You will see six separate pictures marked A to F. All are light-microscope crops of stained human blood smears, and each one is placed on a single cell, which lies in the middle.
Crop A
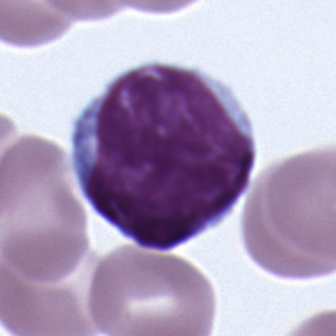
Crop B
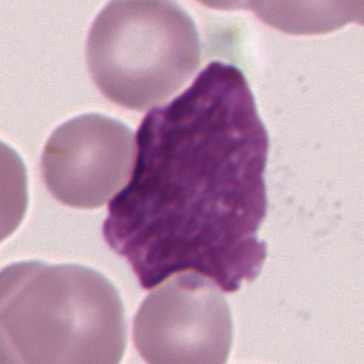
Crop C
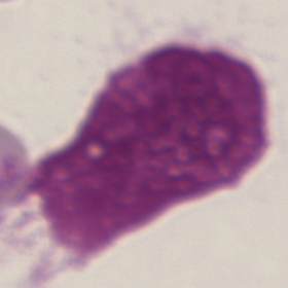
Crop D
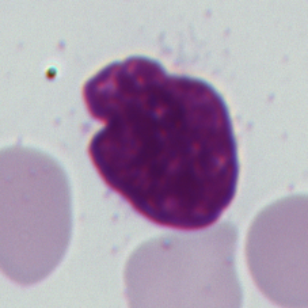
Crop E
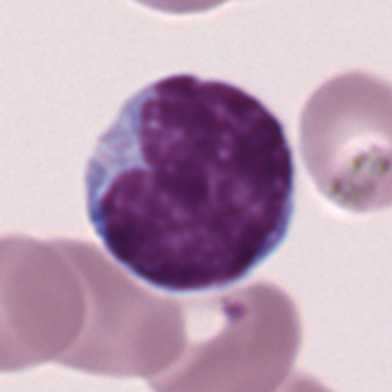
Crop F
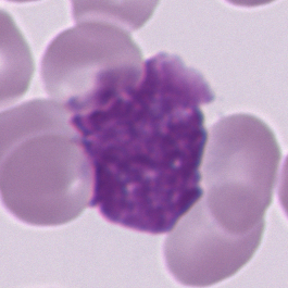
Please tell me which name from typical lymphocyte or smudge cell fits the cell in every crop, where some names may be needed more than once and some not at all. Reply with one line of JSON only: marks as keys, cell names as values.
{"A": "typical lymphocyte", "B": "smudge cell", "C": "smudge cell", "D": "smudge cell", "E": "typical lymphocyte", "F": "smudge cell"}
